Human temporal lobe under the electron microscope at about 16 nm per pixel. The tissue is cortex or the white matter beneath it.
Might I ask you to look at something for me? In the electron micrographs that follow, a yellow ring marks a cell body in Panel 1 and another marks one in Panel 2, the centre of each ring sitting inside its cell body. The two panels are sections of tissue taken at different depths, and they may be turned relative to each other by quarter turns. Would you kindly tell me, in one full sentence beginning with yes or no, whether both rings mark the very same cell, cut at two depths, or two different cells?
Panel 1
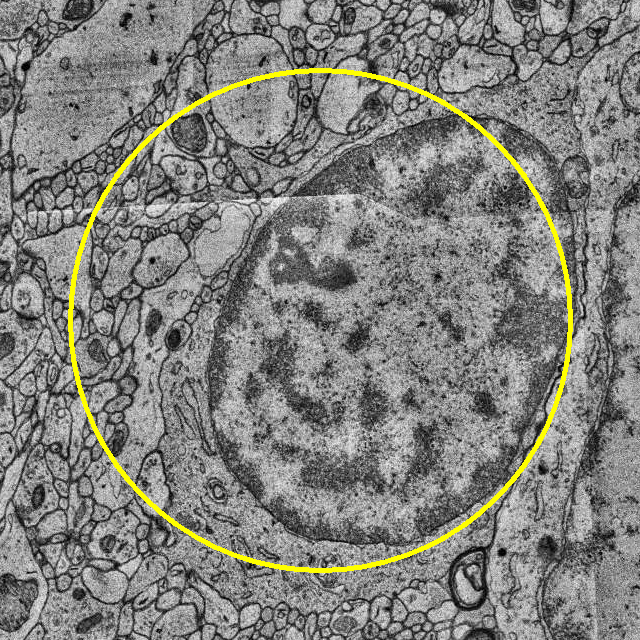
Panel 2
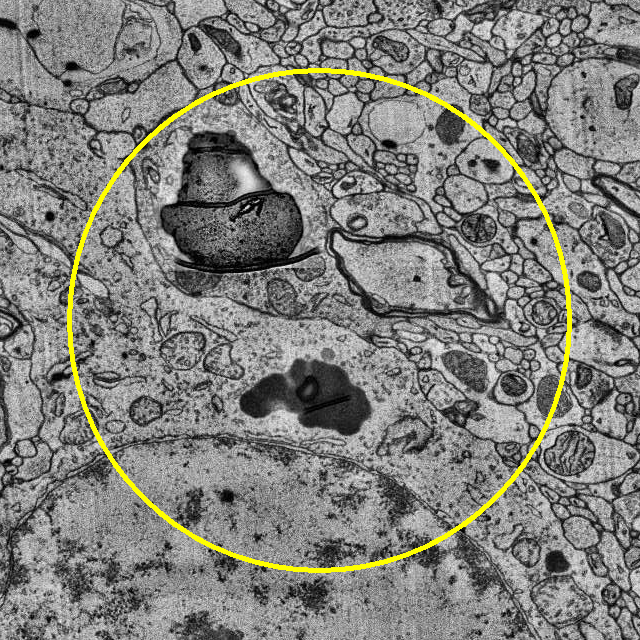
Yes, these two rings point to one cell rather than two.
